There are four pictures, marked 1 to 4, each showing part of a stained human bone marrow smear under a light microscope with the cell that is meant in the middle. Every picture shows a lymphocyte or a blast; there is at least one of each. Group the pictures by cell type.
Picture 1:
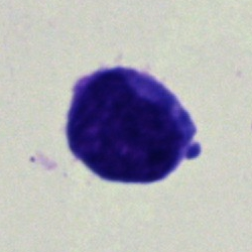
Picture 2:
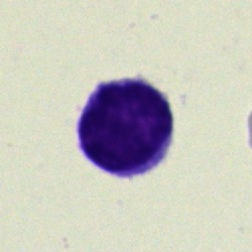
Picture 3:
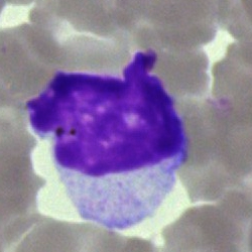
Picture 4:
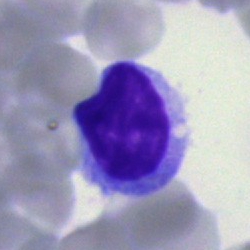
1: blast
2: lymphocyte
3: blast
4: lymphocyte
